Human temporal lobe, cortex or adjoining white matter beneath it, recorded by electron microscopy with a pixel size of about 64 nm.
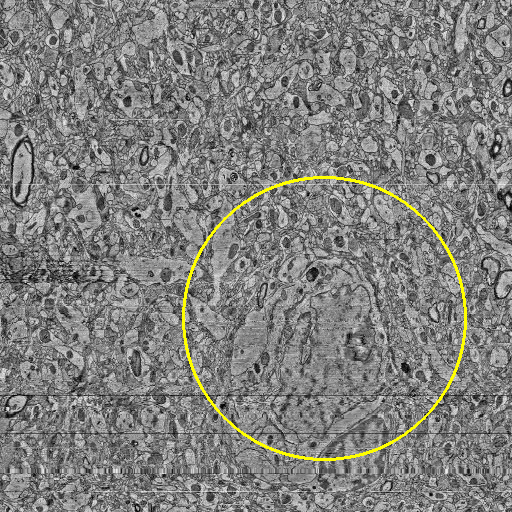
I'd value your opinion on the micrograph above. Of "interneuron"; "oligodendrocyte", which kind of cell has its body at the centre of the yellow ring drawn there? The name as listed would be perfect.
interneuron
